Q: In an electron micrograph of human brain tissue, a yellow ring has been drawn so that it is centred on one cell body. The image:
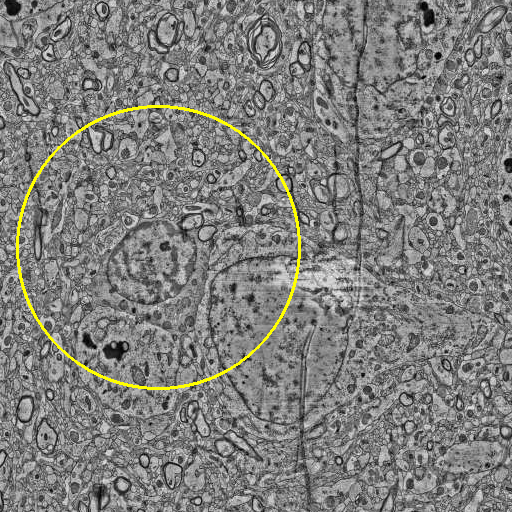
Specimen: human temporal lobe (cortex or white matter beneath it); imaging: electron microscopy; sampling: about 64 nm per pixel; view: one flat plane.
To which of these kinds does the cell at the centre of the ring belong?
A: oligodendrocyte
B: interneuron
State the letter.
A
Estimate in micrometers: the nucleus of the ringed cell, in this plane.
In this plane, about 6 micrometres in length and 5 in width.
